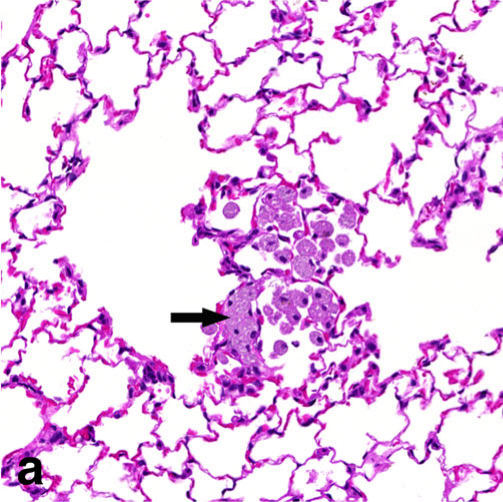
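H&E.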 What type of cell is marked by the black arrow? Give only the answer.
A: Macrophages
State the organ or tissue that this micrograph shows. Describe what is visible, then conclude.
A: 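Alveolar tissue. Thin delicate septa enclose many open airspaces.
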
